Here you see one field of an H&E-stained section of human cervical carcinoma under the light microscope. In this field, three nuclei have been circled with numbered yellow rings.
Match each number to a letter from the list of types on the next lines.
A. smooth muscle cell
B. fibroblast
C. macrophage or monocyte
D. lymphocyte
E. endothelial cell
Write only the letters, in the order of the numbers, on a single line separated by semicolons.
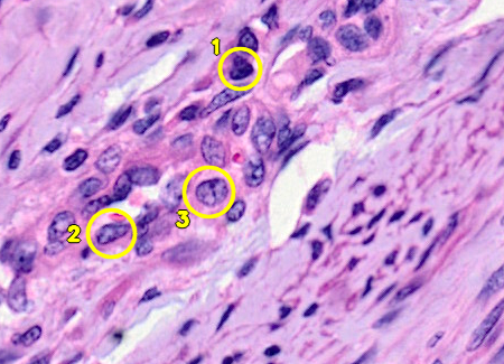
D; E; E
